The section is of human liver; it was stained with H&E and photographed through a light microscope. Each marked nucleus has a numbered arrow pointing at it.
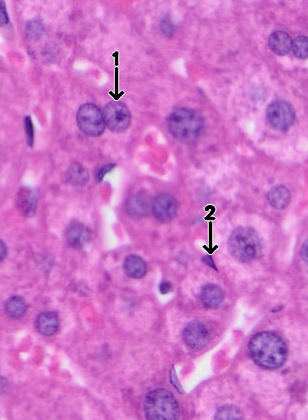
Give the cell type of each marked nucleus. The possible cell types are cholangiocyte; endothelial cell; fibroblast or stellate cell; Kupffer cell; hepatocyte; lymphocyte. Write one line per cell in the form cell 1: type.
cell 1: hepatocyte
cell 2: fibroblast or stellate cell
